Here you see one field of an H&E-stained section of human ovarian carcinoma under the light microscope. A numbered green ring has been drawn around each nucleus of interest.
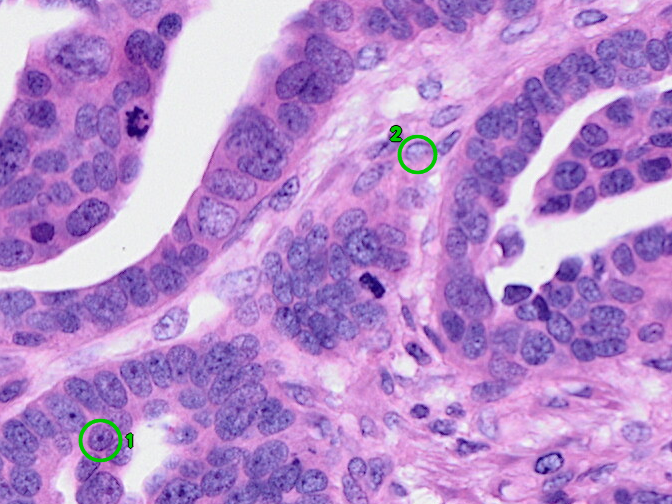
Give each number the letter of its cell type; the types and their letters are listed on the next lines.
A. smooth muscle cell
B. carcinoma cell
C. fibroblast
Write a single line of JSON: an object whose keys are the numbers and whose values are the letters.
{"1": "B", "2": "C"}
